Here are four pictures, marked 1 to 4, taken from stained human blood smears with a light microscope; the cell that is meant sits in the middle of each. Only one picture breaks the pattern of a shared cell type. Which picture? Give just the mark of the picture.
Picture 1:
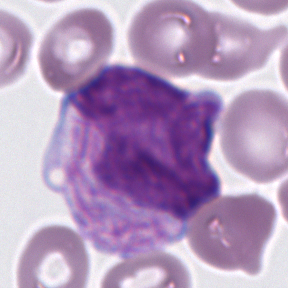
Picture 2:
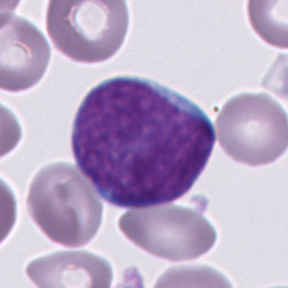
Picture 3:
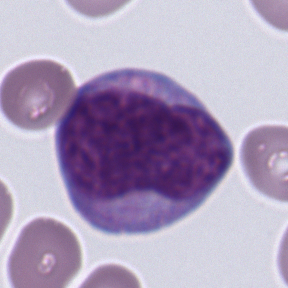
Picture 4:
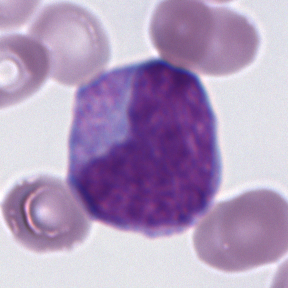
2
